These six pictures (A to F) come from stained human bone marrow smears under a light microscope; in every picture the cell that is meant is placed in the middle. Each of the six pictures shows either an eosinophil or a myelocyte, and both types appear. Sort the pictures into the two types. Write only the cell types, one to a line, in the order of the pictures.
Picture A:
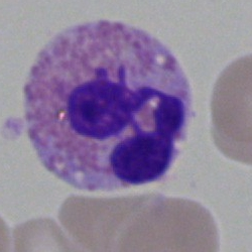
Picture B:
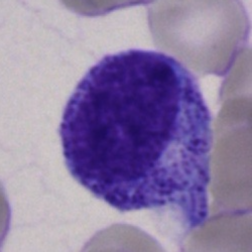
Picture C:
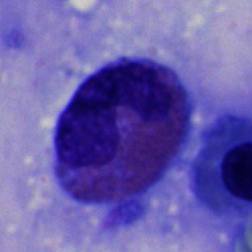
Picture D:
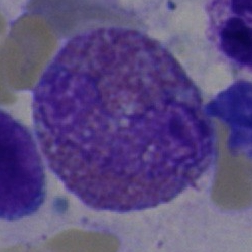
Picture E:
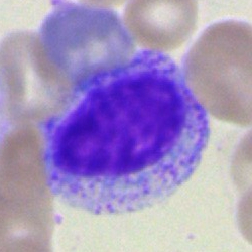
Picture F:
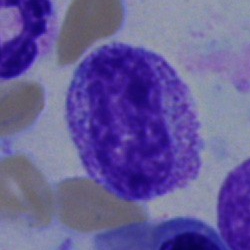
eosinophil
myelocyte
eosinophil
eosinophil
myelocyte
myelocyte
